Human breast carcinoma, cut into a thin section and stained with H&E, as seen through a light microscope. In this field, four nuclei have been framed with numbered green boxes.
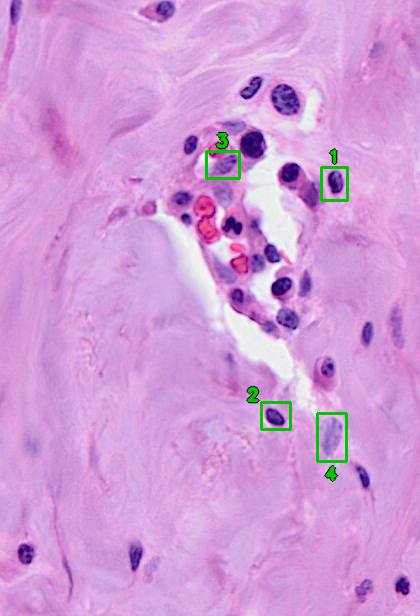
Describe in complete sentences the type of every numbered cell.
Cells 1 and 2 are lymphocytes. Cell 3 is an endothelial cell. Cell 4 is a fibroblast.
